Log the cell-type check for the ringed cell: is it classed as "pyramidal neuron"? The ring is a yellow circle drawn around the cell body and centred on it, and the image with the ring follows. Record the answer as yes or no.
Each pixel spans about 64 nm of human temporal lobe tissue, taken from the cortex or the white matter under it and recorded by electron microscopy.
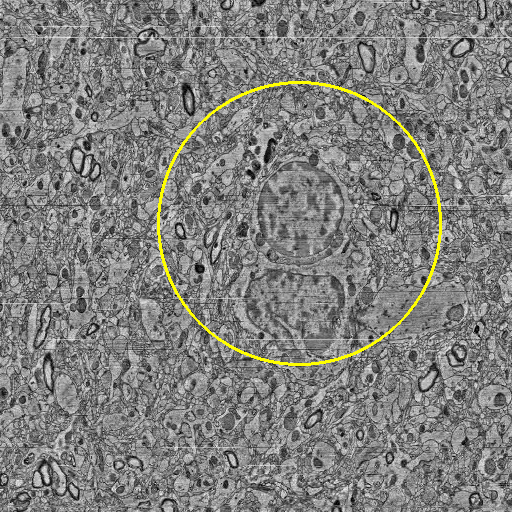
No, it is classed as another type.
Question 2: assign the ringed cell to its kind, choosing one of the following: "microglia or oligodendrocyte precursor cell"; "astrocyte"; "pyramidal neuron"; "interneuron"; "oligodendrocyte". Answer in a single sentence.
The cell shown in the ring is an oligodendrocyte.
